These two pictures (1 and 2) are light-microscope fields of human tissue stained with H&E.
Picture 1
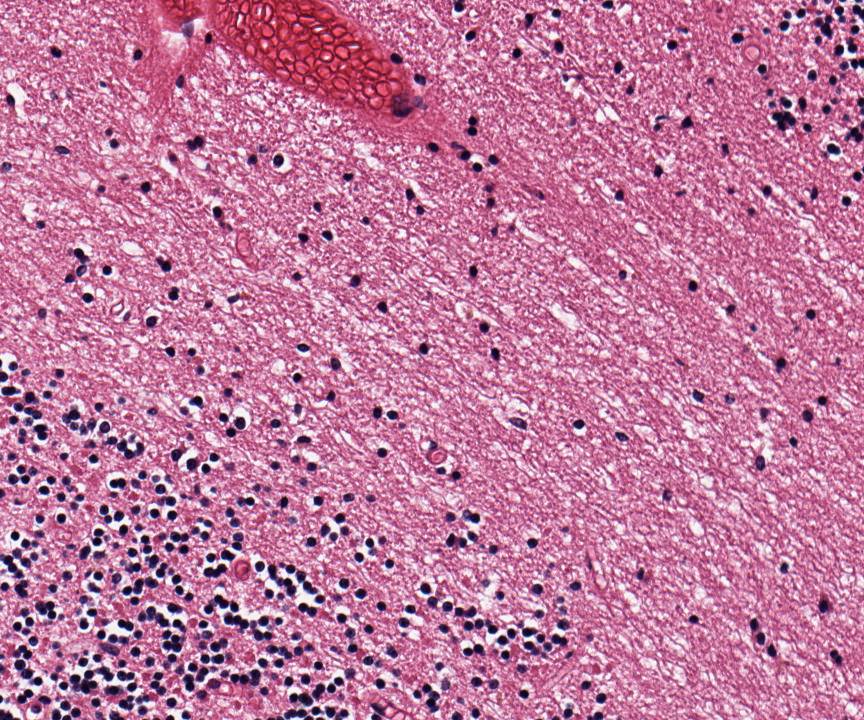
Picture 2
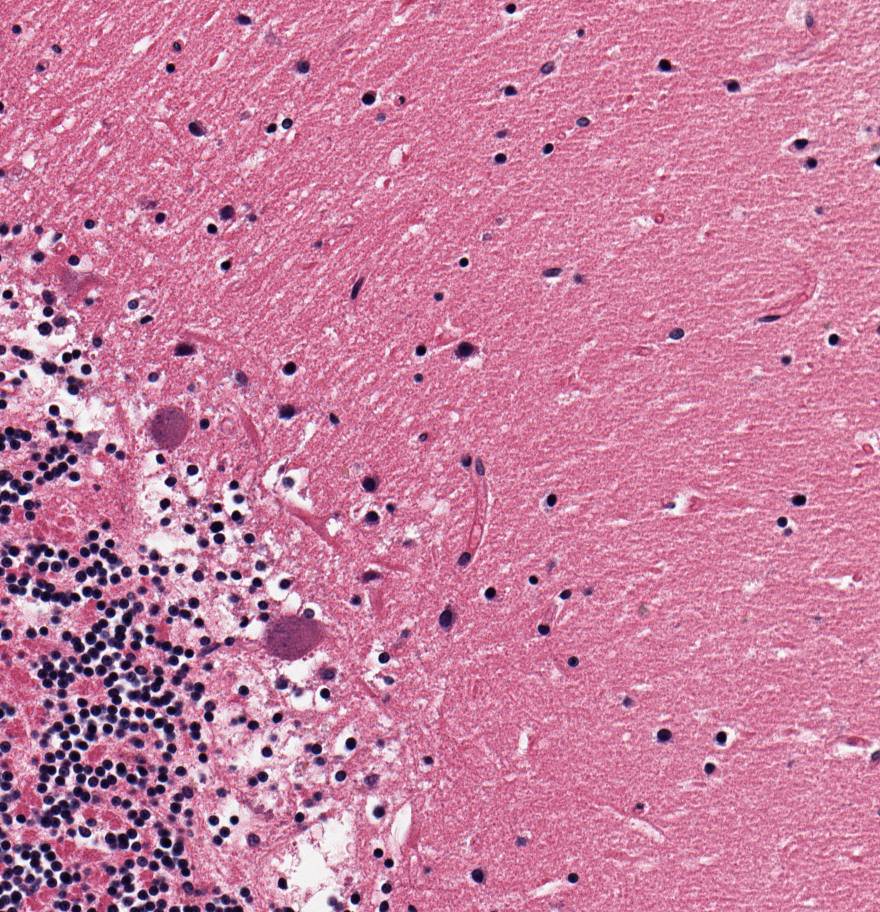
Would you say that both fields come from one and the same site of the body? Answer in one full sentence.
Yes, both come from the cerebellum.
